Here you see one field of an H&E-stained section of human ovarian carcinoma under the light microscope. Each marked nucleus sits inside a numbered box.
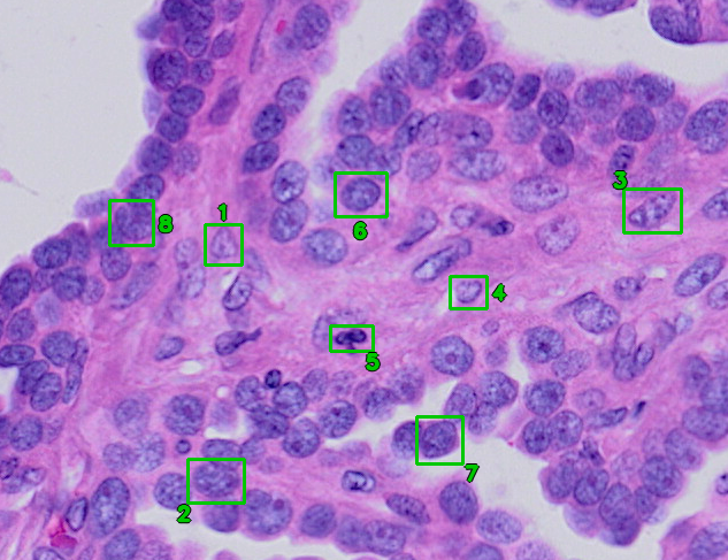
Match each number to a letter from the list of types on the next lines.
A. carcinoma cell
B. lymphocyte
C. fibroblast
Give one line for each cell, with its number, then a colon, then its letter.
1: C
2: A
3: C
4: C
5: B
6: A
7: A
8: A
